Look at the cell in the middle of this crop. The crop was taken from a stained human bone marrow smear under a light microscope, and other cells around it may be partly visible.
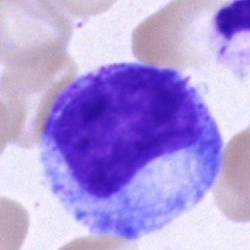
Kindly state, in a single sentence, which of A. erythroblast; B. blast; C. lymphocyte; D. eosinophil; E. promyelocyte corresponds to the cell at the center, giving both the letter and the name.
Option E is the right choice, the central cell being a promyelocyte.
